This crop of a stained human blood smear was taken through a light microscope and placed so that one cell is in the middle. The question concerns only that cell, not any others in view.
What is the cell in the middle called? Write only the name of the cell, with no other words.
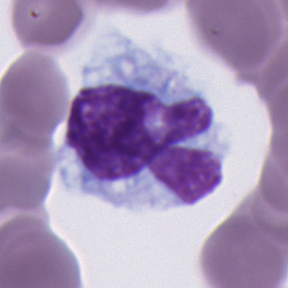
monocyte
